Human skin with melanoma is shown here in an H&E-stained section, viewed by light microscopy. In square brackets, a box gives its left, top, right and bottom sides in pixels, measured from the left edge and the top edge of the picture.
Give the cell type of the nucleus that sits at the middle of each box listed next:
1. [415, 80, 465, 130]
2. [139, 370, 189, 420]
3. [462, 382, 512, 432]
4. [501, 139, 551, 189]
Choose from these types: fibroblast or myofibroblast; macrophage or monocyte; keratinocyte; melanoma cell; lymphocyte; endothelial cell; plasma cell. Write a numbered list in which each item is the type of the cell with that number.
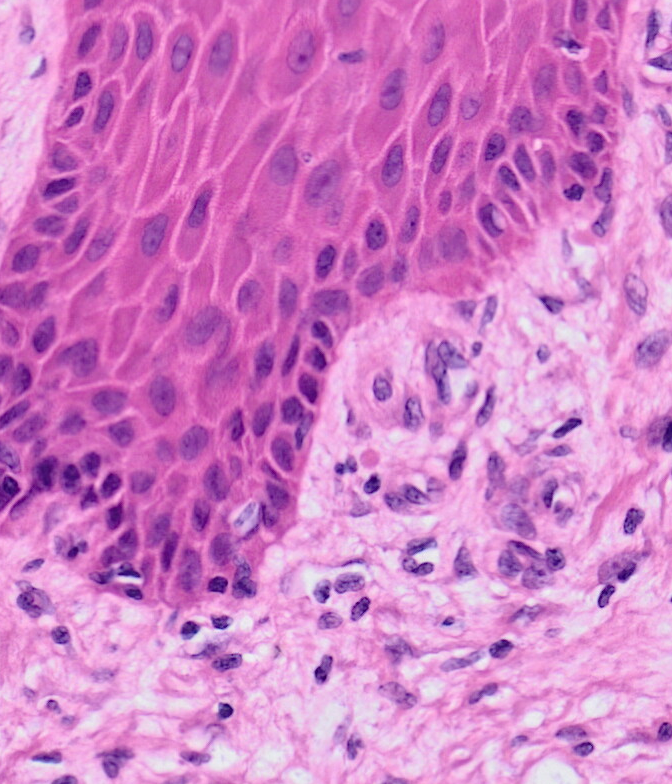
1. keratinocyte
2. keratinocyte
3. fibroblast or myofibroblast
4. keratinocyte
